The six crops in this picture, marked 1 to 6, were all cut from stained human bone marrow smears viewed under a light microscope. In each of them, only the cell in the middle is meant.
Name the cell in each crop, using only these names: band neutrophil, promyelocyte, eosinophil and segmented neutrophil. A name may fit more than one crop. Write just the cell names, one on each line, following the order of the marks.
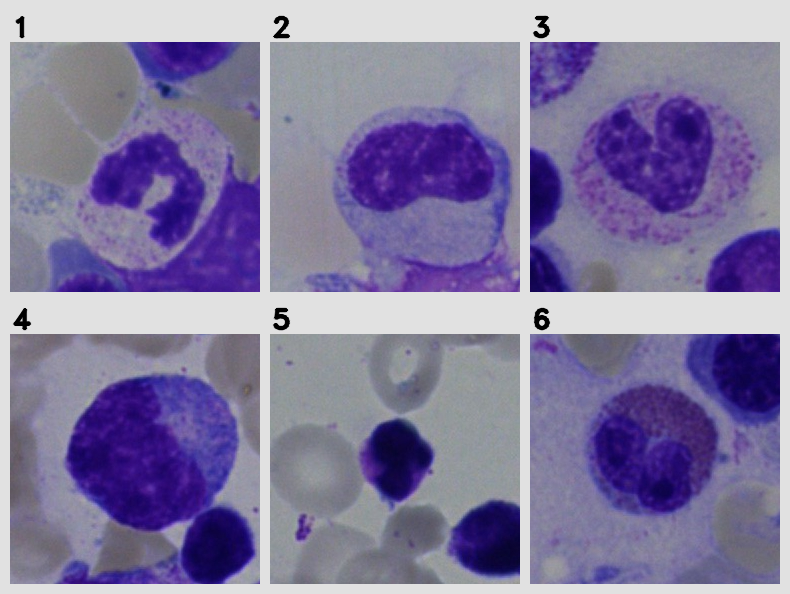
segmented neutrophil
band neutrophil
segmented neutrophil
promyelocyte
segmented neutrophil
eosinophil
